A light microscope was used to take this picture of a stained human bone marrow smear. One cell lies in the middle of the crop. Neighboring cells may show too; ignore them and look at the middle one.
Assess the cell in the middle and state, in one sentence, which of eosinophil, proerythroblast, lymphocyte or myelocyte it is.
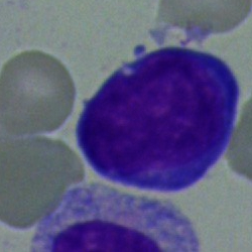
The cell in the middle of this crop is a proerythroblast.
